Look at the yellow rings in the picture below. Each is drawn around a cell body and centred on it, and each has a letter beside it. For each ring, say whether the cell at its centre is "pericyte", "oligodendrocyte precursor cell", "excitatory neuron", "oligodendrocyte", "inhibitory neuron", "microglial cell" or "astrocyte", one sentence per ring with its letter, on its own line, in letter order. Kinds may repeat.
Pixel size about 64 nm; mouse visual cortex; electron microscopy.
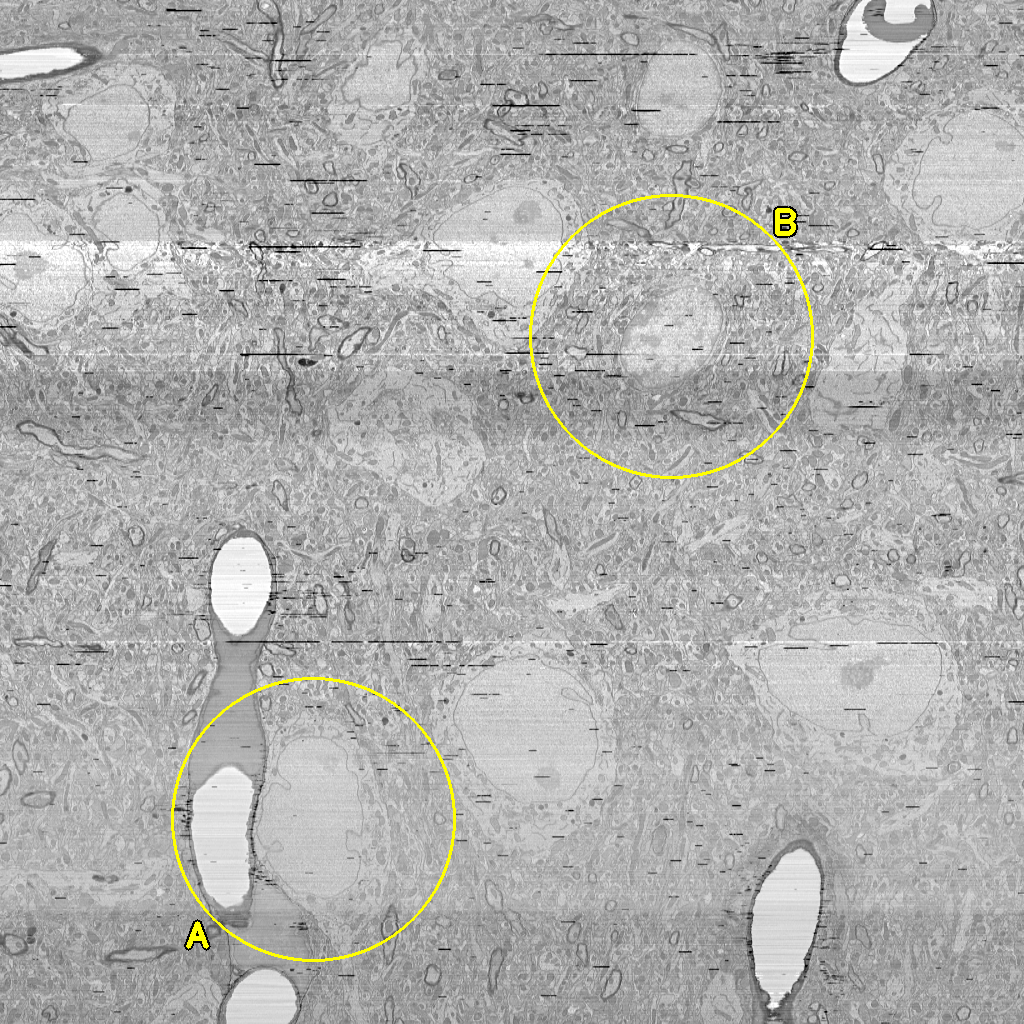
The centred cell of ring A is an excitatory neuron.
The centred cell of ring B is an oligodendrocyte.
